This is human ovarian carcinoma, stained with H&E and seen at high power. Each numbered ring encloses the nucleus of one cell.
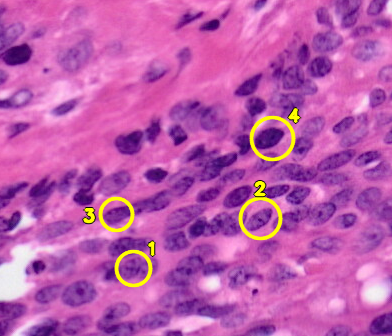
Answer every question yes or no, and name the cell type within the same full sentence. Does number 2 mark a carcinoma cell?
No, not a carcinoma cell: the cell with number 2 is a macrophage or monocyte.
